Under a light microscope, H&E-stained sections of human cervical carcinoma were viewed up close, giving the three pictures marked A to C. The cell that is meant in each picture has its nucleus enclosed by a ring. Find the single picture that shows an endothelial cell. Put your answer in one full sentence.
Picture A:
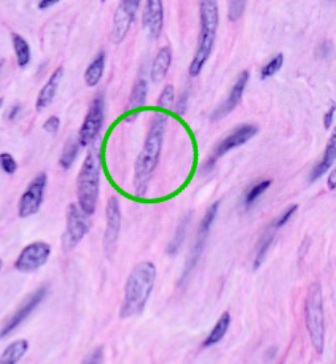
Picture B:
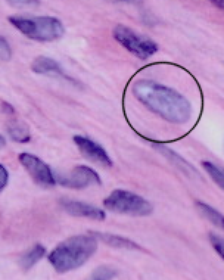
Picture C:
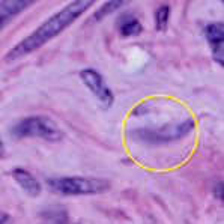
Picture B shows the endothelial cell.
